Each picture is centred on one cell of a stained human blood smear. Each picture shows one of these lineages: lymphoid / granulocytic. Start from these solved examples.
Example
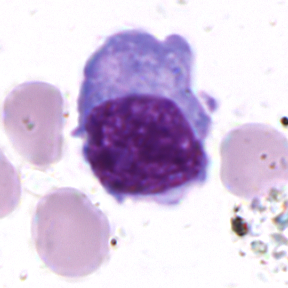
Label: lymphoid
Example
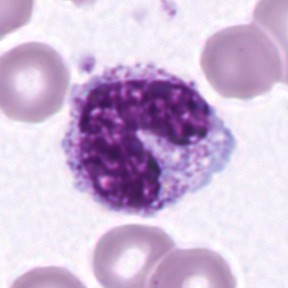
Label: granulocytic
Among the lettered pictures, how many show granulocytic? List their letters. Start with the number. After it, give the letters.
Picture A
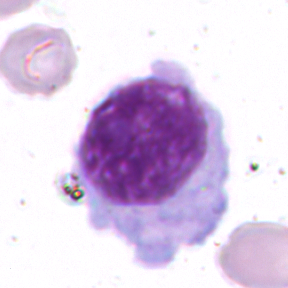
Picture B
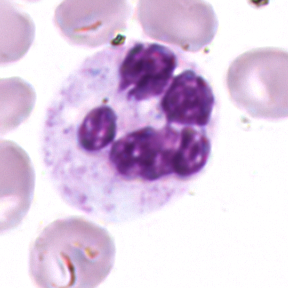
1, namely B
